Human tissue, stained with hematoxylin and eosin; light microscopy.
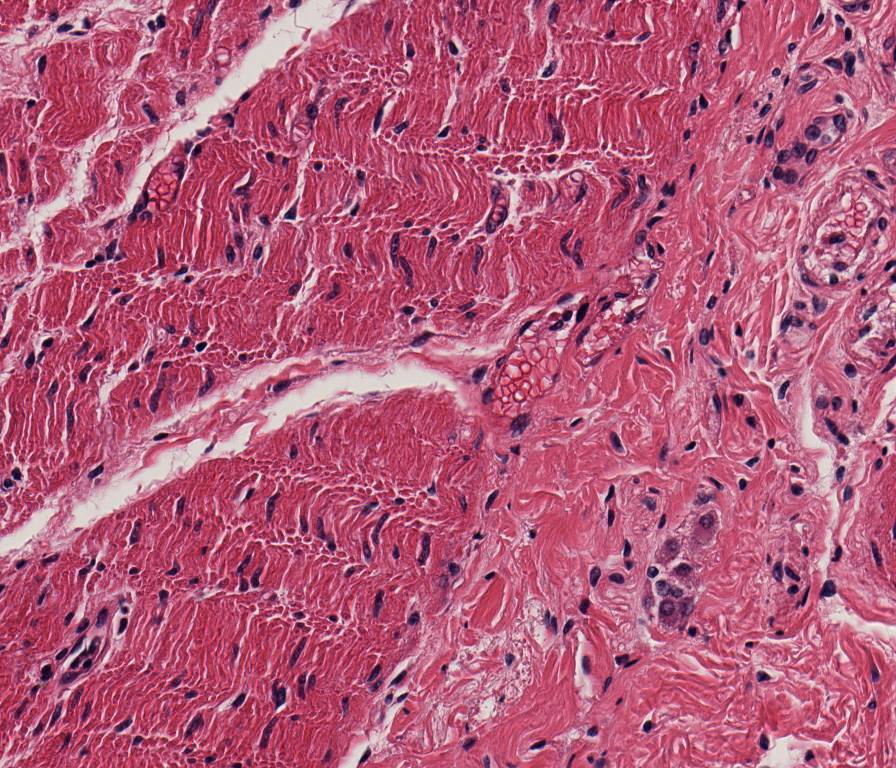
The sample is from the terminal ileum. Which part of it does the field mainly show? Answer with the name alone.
smooth muscle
